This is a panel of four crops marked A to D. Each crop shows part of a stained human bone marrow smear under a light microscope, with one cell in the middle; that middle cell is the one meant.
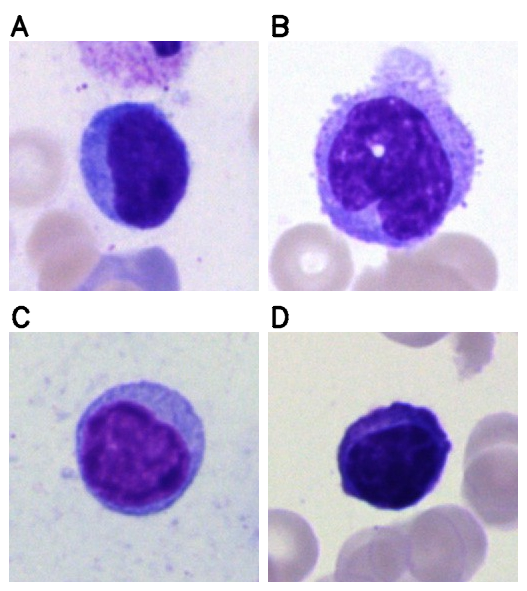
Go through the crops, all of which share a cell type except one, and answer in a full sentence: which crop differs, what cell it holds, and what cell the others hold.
Crop B differs: it is a monocyte, and all the other crops show lymphocytes.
